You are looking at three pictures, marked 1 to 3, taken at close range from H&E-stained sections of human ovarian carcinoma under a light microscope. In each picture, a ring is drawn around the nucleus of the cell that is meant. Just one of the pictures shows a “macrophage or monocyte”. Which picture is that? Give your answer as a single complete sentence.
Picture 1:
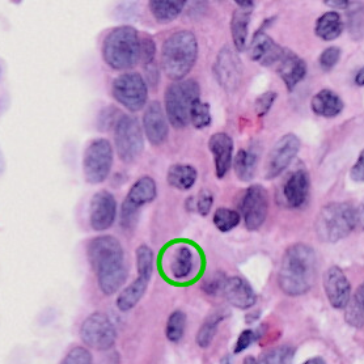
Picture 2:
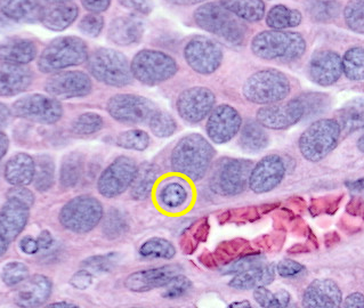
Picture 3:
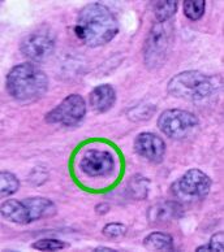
It is picture 2 that shows the “macrophage or monocyte”.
